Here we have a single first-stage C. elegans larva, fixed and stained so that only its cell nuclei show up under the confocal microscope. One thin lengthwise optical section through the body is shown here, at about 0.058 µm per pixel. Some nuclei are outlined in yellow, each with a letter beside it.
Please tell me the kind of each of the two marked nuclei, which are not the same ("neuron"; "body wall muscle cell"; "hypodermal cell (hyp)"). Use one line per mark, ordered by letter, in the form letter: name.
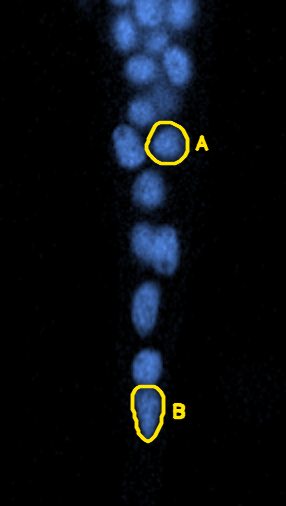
A: neuron
B: hypodermal cell (hyp)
